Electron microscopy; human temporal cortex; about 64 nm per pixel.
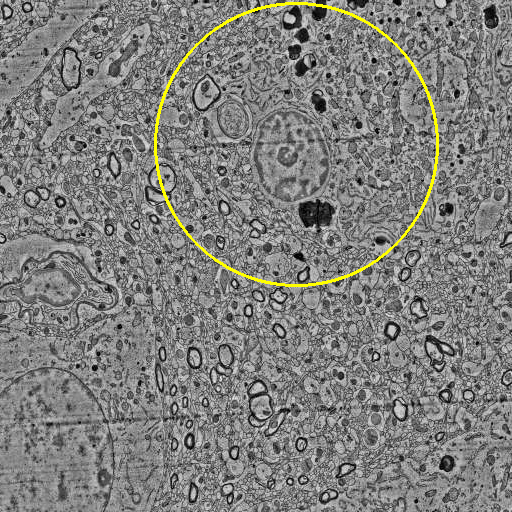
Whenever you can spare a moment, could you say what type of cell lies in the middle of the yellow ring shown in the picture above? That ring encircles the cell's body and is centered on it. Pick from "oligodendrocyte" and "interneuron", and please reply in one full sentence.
The cell whose body sits at the middle of the yellow ring is an oligodendrocyte.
